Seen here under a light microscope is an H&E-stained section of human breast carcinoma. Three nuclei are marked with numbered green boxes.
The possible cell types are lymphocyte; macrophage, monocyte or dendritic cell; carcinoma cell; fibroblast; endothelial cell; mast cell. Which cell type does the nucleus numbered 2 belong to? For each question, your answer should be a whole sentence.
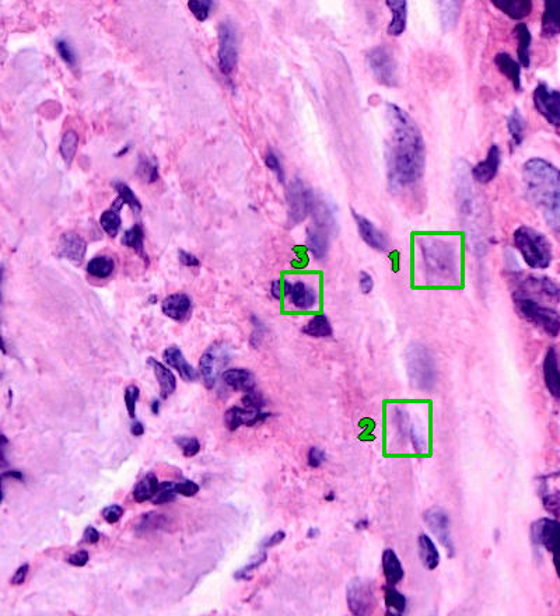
The cell referenced by the number 2 is a fibroblast in this field.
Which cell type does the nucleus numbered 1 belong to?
Number 1 among the marked cells is a fibroblast.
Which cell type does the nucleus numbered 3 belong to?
The nucleus with number 3 is that of a lymphocyte.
